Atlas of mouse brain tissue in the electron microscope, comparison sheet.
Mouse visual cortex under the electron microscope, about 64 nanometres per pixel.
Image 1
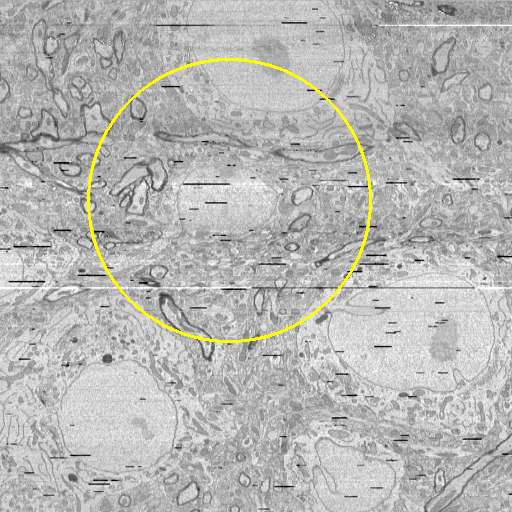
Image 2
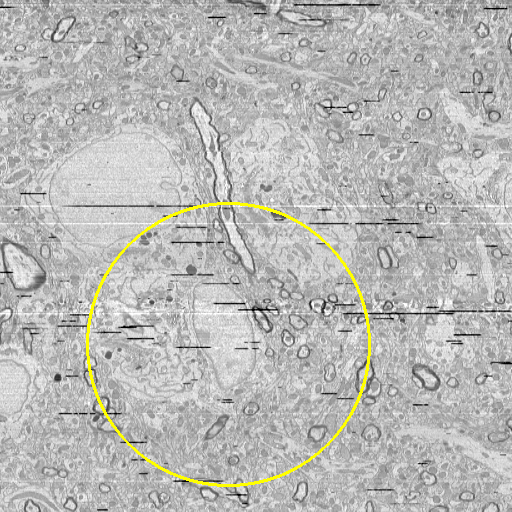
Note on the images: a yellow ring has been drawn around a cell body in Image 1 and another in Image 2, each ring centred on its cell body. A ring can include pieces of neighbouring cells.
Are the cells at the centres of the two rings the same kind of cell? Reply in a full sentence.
Yes, both cells are of the same kind.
